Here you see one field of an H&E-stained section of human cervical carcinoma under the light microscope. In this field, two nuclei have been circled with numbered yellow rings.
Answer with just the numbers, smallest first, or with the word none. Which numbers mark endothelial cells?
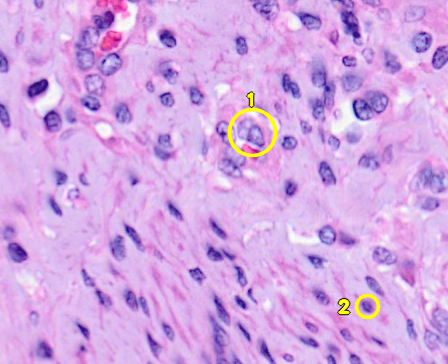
1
